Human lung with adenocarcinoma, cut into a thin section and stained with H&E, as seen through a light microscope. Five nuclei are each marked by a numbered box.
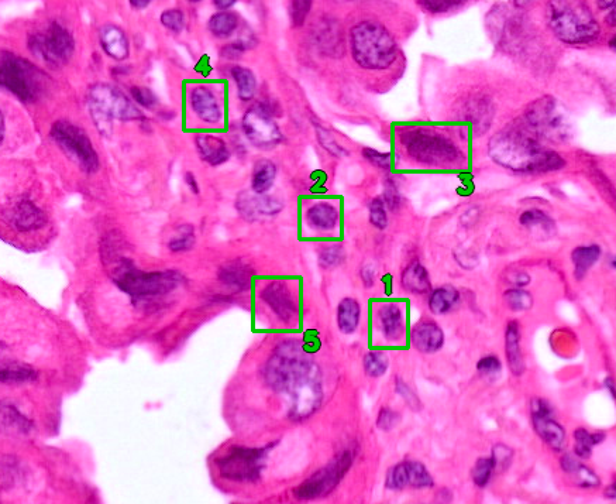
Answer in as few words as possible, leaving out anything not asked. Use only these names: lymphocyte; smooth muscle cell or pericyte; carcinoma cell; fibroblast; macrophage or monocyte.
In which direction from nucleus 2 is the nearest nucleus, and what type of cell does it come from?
a lymphocyte; below nucleus 2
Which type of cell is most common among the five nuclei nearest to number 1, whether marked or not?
lymphocyte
